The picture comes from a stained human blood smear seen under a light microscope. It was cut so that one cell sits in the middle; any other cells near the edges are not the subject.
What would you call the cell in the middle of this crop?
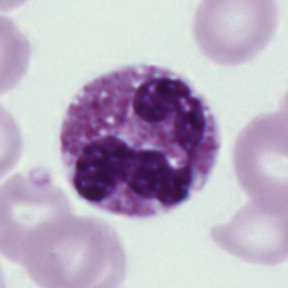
eosinophil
